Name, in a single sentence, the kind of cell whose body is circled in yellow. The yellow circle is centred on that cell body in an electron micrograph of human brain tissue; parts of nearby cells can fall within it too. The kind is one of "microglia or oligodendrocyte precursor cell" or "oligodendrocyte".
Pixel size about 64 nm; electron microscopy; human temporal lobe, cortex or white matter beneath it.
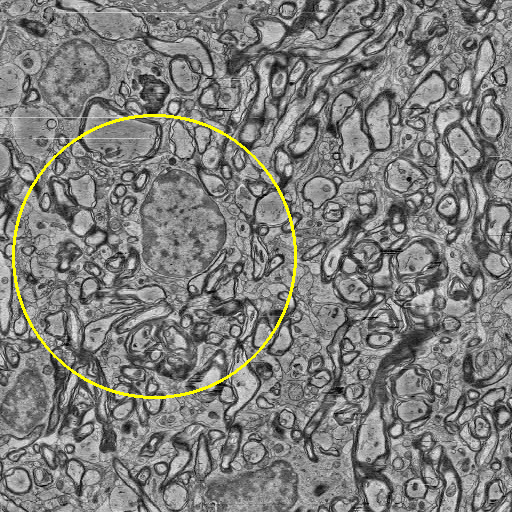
The circled cell body belongs to a microglial cell or oligodendrocyte precursor cell.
